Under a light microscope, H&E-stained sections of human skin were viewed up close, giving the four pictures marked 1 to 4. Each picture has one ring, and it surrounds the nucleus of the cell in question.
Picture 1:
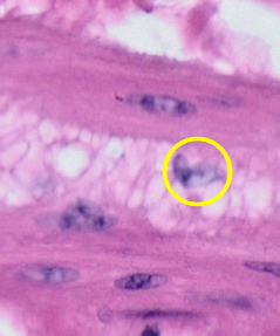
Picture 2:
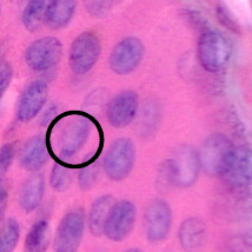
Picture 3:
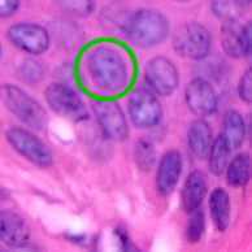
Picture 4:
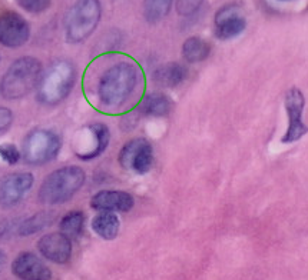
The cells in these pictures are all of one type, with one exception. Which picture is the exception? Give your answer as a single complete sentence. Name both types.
All pictures except 1 show suprabasal keratinocytes; picture 1 shows a fibroblast.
